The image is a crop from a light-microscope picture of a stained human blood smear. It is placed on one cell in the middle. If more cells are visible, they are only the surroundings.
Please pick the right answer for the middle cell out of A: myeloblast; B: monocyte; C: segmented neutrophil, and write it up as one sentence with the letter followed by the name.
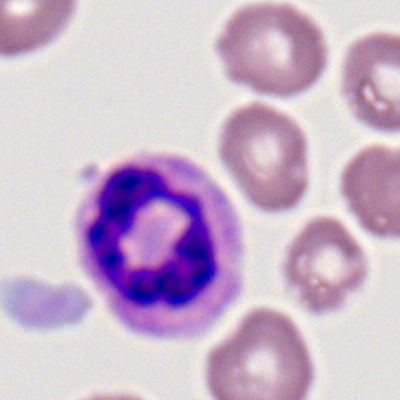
In the centre of the crop there is a segmented neutrophil, making option C correct.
